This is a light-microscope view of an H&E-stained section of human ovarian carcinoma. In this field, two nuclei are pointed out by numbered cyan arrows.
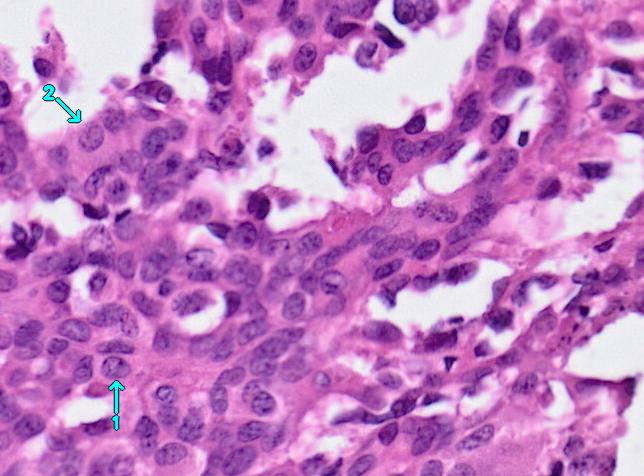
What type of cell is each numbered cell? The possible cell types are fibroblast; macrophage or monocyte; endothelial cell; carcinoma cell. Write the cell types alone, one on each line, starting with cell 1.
macrophage or monocyte
carcinoma cell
